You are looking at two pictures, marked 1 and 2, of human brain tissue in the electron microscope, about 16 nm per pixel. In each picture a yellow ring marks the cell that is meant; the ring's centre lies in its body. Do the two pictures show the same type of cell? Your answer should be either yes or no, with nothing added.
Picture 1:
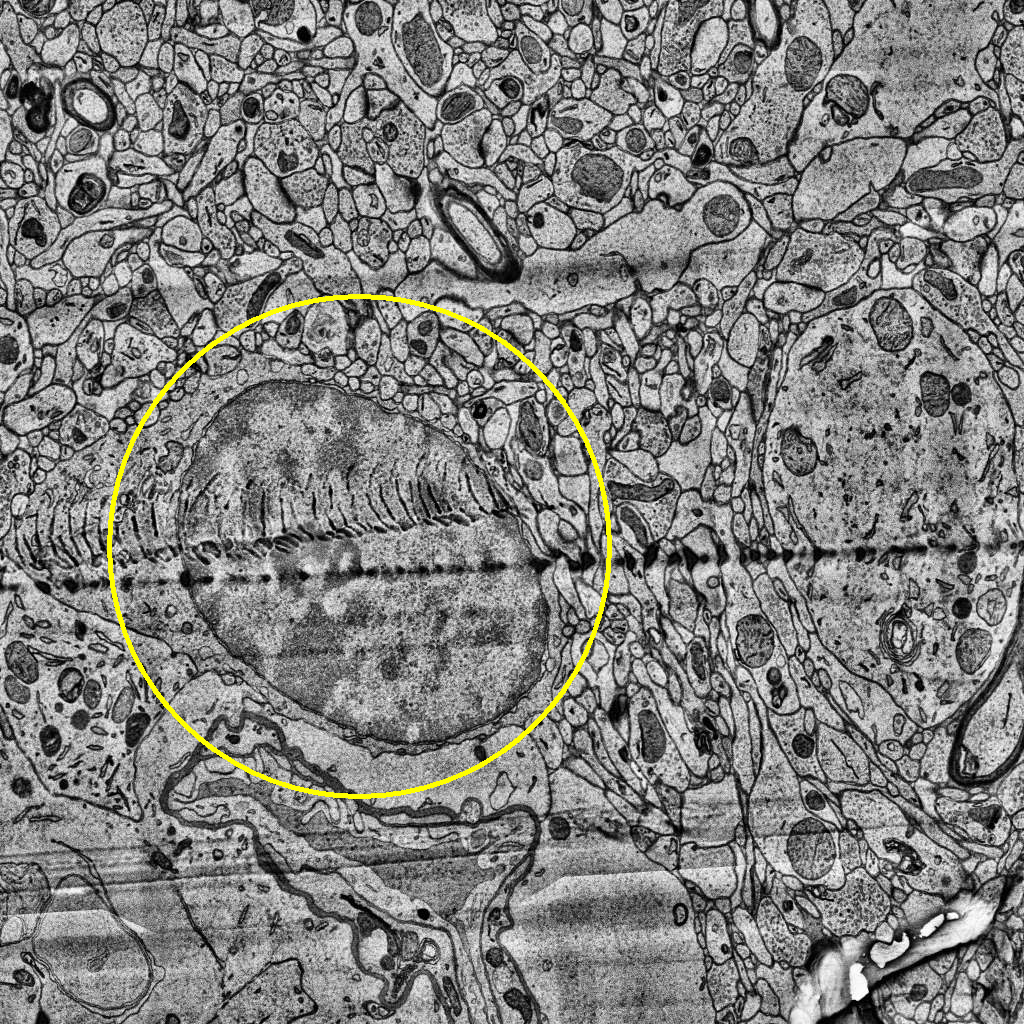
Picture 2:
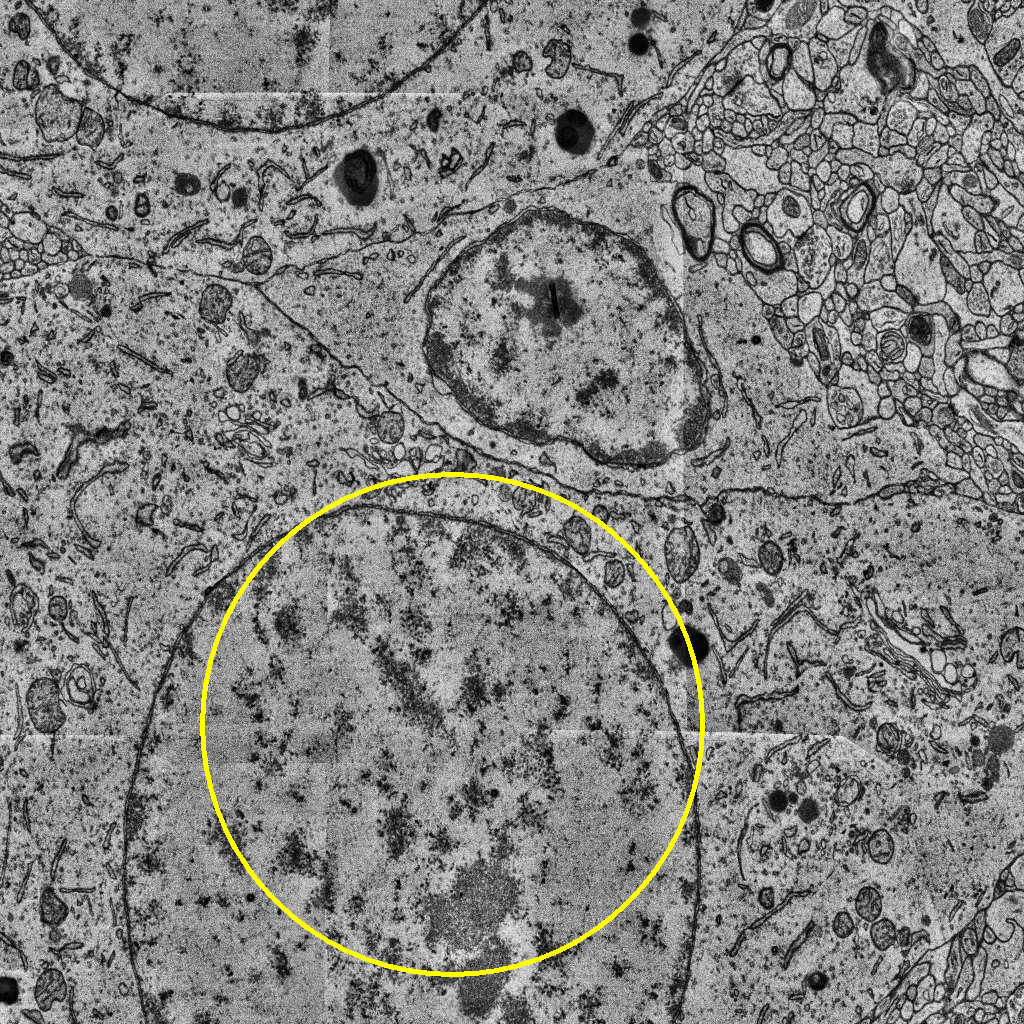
no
